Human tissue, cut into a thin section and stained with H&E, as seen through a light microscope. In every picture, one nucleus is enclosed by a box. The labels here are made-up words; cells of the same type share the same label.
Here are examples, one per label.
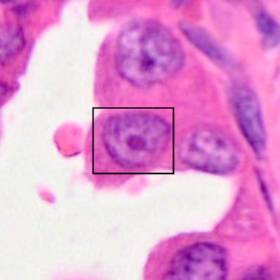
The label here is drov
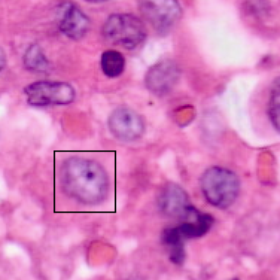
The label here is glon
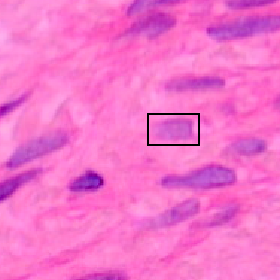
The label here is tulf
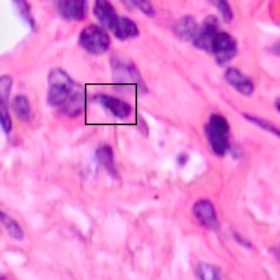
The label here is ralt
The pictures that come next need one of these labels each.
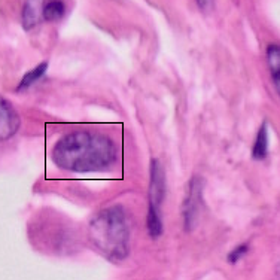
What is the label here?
drov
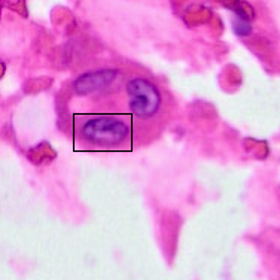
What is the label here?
glon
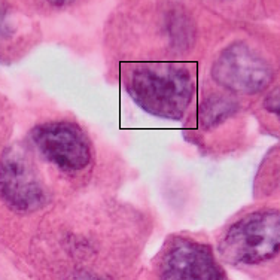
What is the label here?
drov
